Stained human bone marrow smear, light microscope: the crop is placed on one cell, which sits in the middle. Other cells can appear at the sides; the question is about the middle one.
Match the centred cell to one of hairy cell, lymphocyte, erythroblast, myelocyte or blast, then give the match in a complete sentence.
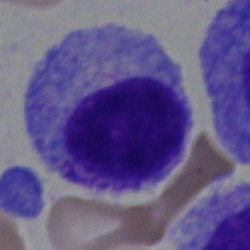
The crop shows a myelocyte in its centre.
